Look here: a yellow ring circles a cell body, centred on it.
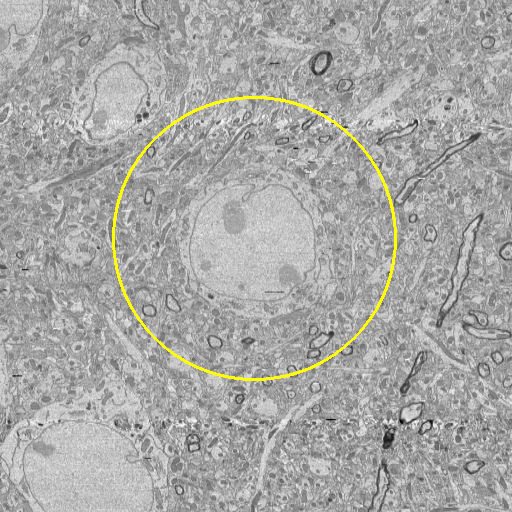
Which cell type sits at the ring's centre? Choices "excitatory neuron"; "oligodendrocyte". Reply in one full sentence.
The cell at the centre of the yellow ring in the picture is an excitatory neuron.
